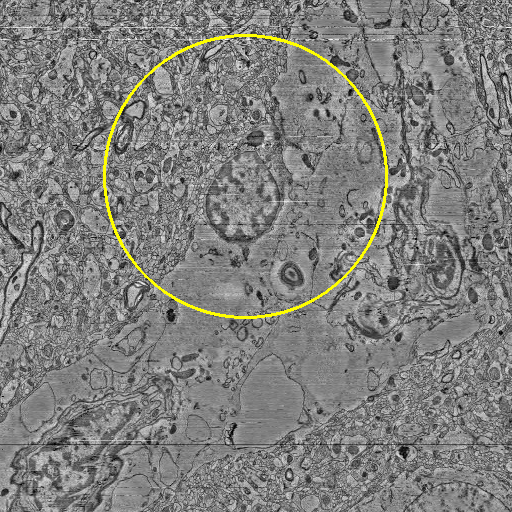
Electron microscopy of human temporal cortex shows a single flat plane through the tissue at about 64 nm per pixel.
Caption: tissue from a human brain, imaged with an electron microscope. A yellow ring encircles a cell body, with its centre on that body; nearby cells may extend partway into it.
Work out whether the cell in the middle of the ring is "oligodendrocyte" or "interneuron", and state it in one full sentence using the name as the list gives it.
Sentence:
In the picture, the cell that the yellow ring surrounds at its centre is an oligodendrocyte.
